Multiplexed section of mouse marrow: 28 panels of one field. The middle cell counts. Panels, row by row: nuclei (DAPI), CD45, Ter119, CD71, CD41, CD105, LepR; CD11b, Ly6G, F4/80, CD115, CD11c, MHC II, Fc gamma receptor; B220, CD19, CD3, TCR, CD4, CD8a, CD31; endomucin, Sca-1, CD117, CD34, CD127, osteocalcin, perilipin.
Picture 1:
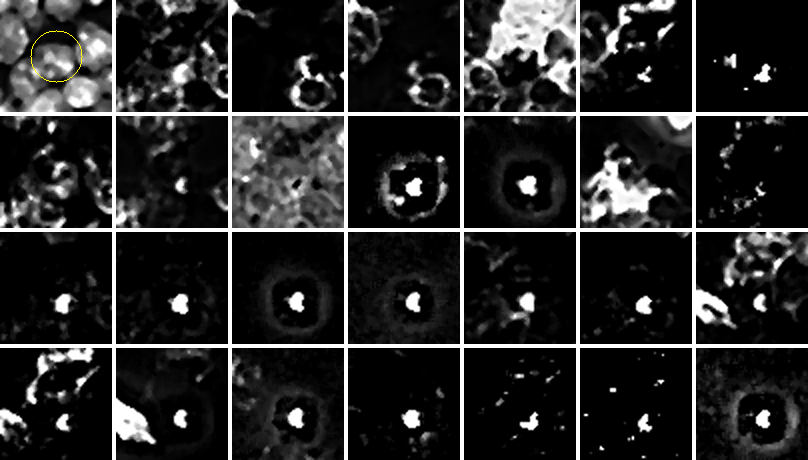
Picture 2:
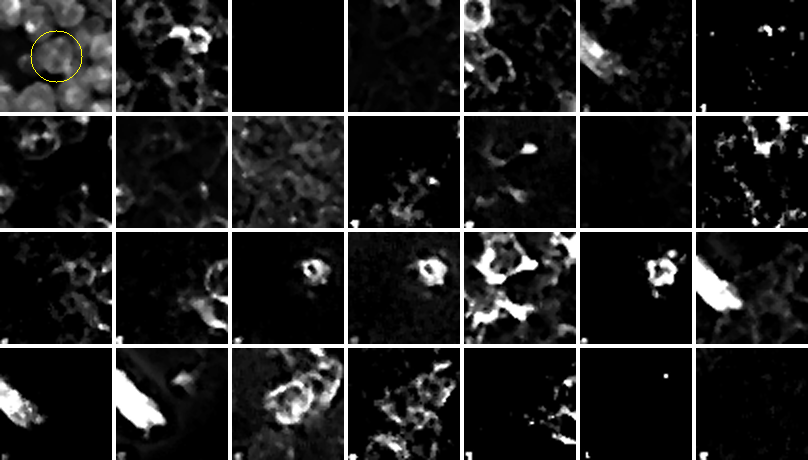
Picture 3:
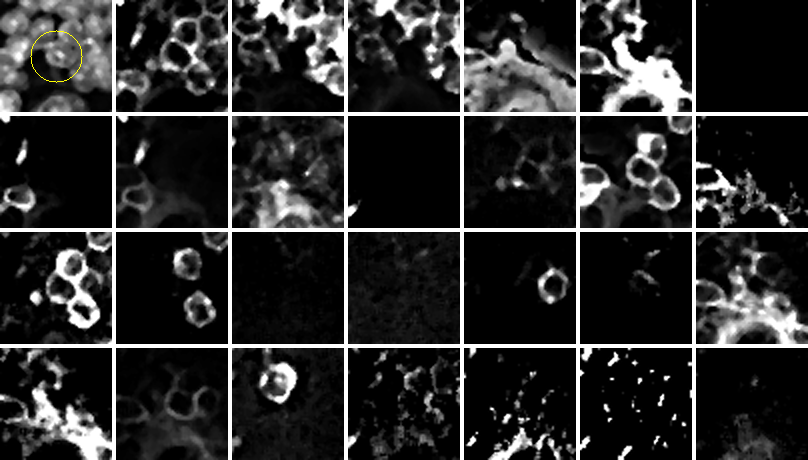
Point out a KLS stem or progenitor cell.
That is picture 2.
